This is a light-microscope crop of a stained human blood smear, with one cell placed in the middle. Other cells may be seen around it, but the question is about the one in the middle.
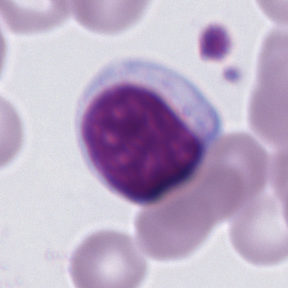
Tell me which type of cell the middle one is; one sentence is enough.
Here the centrally located cell is a large granular lymphocyte.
